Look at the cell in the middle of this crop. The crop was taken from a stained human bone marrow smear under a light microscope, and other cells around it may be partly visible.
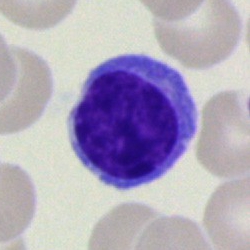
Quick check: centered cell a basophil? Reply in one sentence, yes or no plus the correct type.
No, the cell at the center of this crop is a lymphocyte instead of a basophil.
